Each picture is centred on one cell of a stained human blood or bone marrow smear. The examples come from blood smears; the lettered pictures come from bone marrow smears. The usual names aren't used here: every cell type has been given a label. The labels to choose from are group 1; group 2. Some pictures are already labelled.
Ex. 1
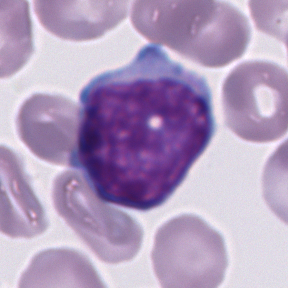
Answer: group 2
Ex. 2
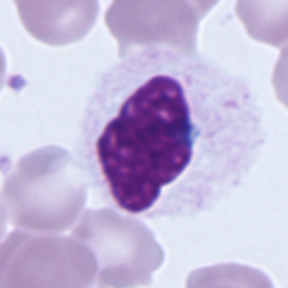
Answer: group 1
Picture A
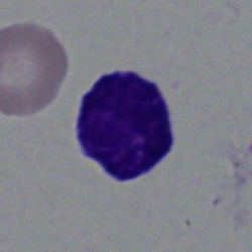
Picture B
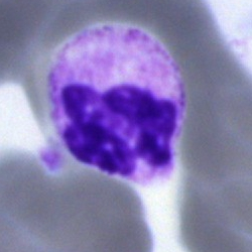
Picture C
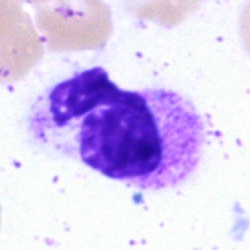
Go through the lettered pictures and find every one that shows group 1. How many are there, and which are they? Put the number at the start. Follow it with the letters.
2, namely B, C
